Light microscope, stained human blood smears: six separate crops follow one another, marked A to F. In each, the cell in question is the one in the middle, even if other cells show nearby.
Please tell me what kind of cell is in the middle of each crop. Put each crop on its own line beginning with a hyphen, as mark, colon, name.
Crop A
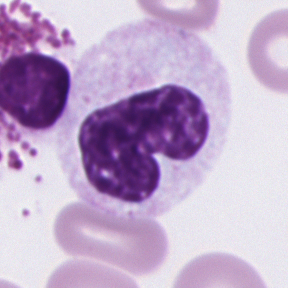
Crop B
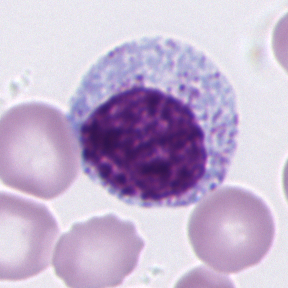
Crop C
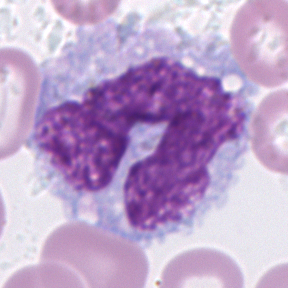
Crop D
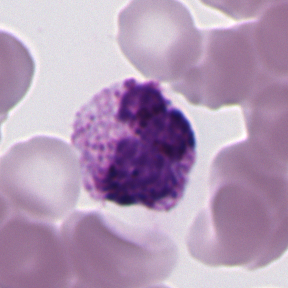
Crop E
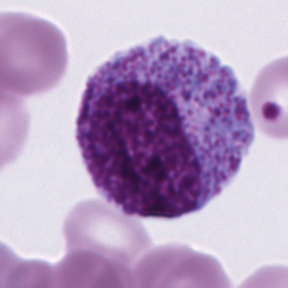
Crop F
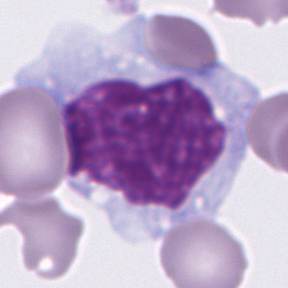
- A: band neutrophil
- B: myelocyte
- C: monocyte
- D: basophil
- E: promyelocyte
- F: monocyte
